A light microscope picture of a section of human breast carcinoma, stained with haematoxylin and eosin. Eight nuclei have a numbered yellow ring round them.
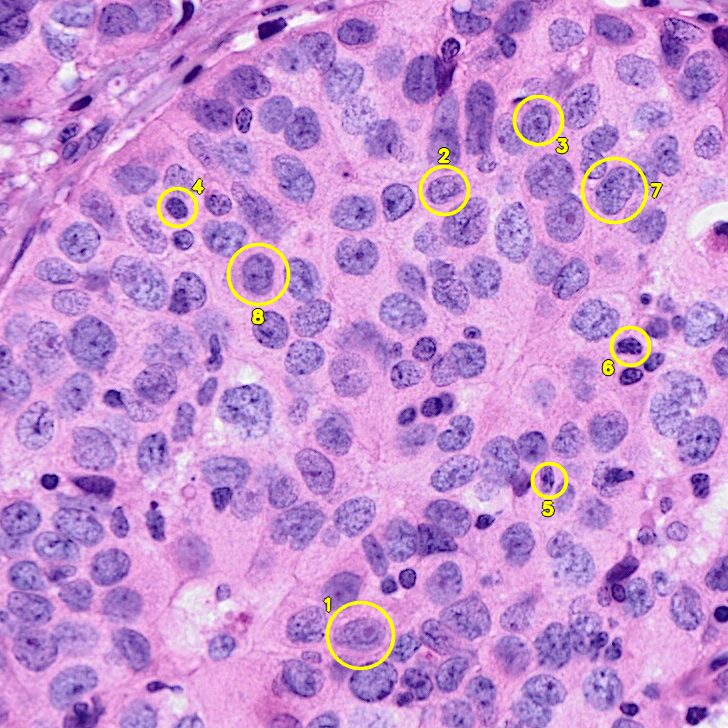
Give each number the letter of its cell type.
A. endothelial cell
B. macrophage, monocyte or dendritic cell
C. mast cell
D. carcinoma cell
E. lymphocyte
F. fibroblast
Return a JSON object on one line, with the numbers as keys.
{"1": "D", "2": "D", "3": "D", "4": "E", "5": "E", "6": "E", "7": "D", "8": "D"}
